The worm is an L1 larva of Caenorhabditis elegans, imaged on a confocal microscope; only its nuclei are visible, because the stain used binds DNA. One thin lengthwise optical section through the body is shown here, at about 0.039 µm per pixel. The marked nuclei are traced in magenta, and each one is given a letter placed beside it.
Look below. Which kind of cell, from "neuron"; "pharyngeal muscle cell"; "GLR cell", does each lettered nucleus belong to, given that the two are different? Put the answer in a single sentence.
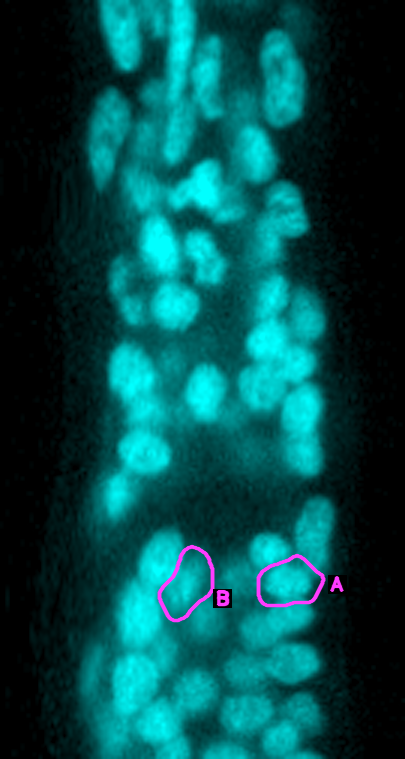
The nucleus A is that of a neuron, while B is that of a GLR cell.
